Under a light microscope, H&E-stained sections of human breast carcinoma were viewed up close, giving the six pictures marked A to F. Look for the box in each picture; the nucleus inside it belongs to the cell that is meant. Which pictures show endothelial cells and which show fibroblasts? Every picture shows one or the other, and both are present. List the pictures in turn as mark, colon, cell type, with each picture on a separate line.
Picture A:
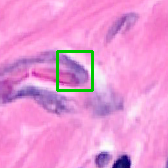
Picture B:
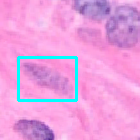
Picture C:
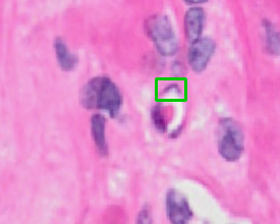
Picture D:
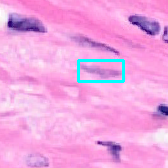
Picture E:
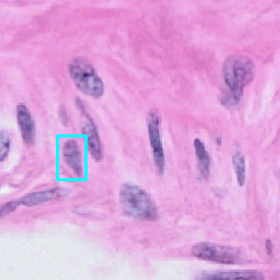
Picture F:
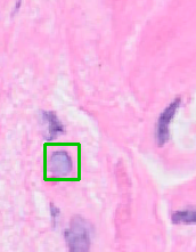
A: endothelial cell
B: fibroblast
C: endothelial cell
D: fibroblast
E: endothelial cell
F: endothelial cell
